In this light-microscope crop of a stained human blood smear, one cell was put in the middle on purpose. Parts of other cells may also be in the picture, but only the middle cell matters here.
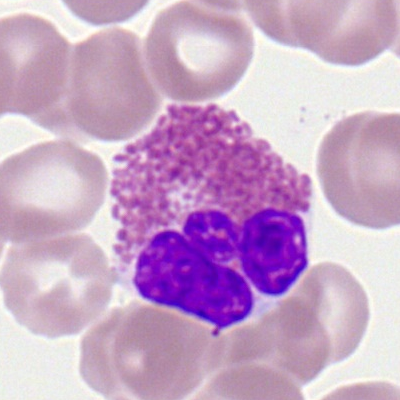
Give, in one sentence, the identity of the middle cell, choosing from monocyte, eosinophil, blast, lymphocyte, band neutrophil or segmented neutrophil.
Standing at the centre of this crop is an eosinophil.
